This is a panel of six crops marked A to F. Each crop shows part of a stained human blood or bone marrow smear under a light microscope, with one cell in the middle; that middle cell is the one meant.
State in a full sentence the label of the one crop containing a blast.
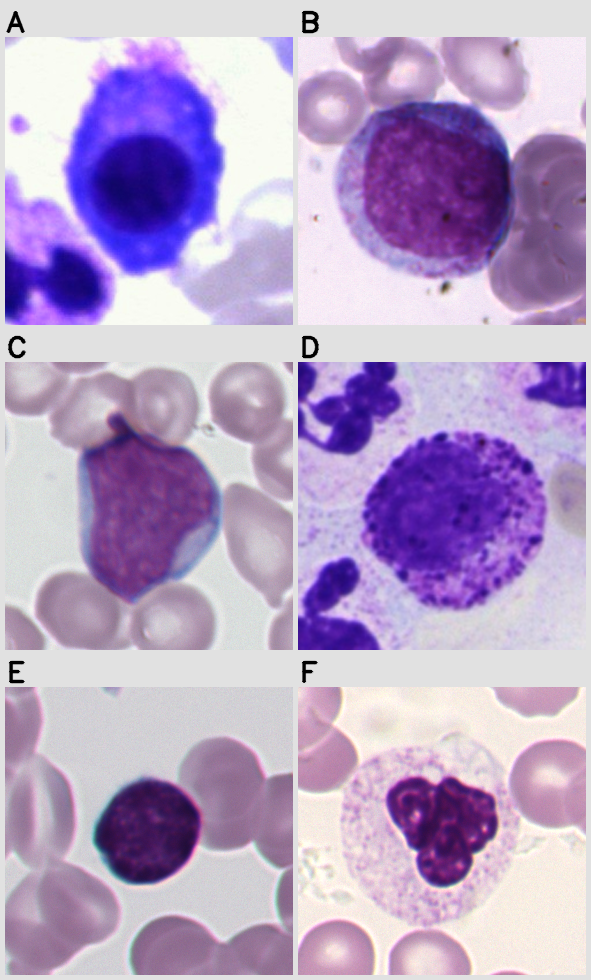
Crop C is the crop that shows a blast in its middle.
